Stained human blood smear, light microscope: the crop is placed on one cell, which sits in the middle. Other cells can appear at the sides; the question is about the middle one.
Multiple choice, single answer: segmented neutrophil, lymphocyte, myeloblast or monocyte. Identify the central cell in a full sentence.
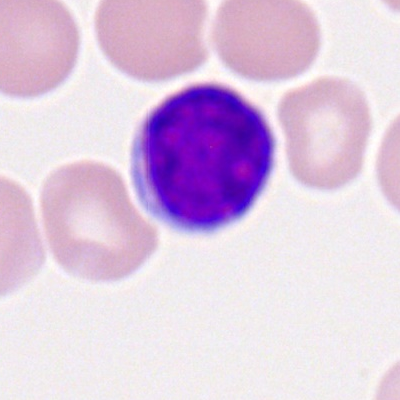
Classified as a lymphocyte is the cell in the middle of this crop.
